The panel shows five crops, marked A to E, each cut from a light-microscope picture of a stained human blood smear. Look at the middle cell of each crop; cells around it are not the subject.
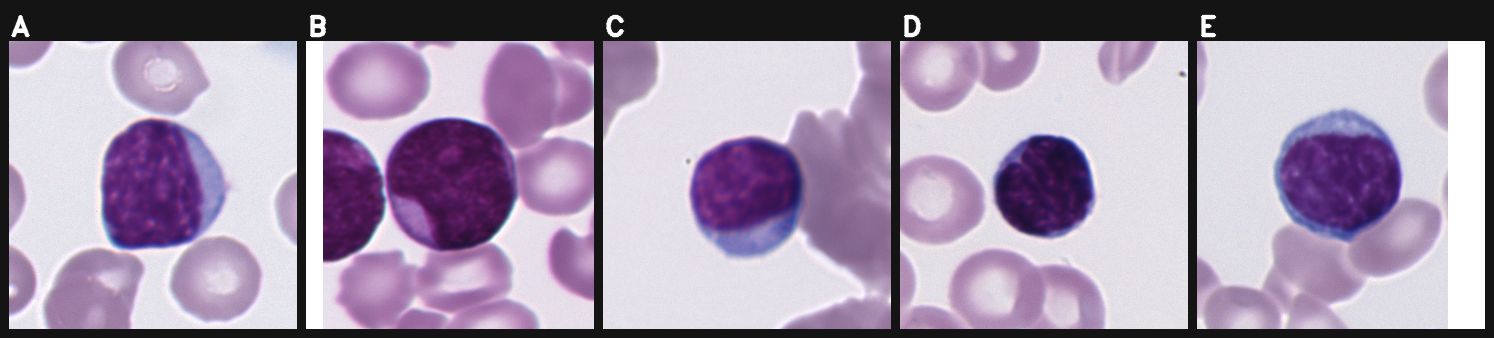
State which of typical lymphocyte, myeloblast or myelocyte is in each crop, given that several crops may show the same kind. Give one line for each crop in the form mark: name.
A: myeloblast
B: myeloblast
C: typical lymphocyte
D: typical lymphocyte
E: typical lymphocyte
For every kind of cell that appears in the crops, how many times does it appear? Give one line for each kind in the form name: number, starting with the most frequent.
typical lymphocyte: 3
myeloblast: 2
